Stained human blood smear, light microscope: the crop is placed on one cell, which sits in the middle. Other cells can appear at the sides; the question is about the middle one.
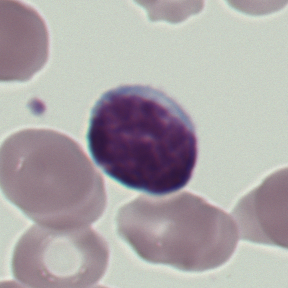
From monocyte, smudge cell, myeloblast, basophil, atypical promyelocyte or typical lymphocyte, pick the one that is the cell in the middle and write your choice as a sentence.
The cell around which this crop is centred is a typical lymphocyte.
